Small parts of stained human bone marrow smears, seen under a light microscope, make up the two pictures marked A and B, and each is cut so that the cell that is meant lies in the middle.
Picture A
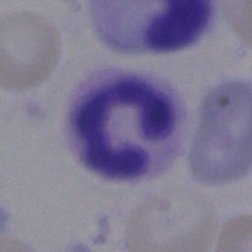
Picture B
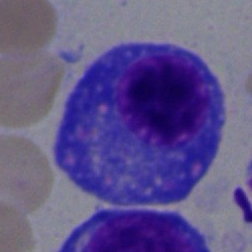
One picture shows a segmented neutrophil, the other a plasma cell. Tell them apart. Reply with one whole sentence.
Picture A shows a segmented neutrophil and picture B shows a plasma cell.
